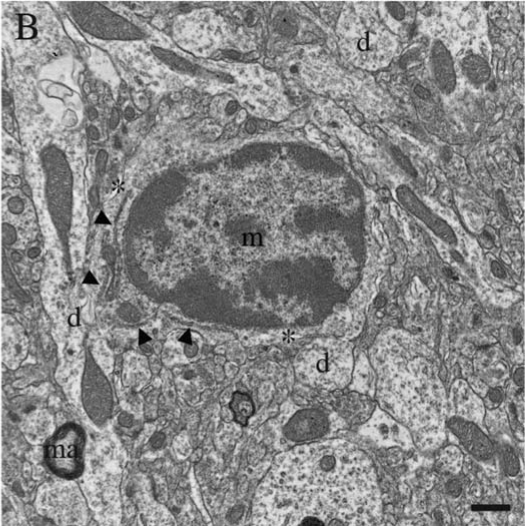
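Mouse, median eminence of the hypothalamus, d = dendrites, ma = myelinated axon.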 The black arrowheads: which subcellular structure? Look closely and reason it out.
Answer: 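The arrowheads point to narrow elongated membrane profiles in the cytoplasm. These lie close to the nucleus of the central cell. The answer: endoplasmic reticulum.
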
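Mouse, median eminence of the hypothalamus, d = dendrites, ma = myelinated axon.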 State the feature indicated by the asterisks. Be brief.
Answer: Pockets of extracellular space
